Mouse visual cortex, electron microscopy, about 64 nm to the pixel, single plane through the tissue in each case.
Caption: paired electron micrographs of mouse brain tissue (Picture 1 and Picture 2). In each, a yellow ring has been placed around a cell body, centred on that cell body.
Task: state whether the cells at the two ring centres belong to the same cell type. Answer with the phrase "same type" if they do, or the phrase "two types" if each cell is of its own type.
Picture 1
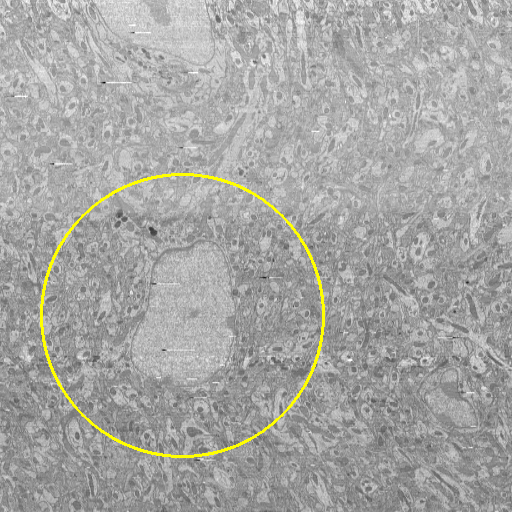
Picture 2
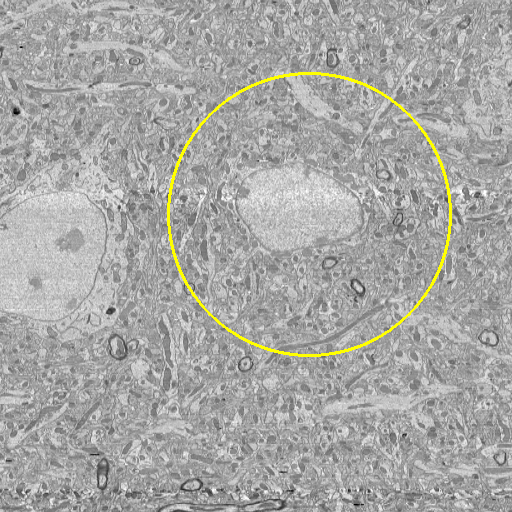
same type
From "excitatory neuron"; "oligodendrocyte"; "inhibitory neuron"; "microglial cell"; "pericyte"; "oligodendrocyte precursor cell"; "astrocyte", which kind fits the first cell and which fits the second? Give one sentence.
Each cell at the centre of a ring is an astrocyte.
